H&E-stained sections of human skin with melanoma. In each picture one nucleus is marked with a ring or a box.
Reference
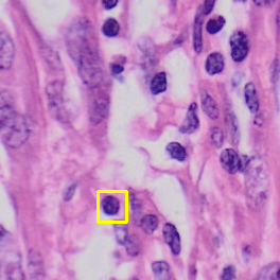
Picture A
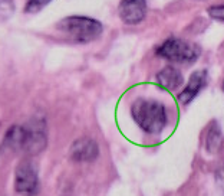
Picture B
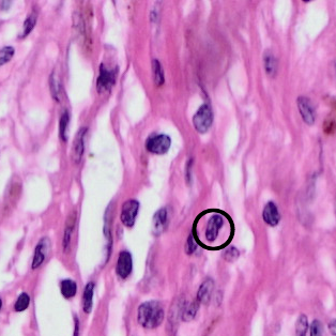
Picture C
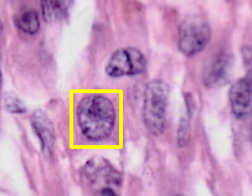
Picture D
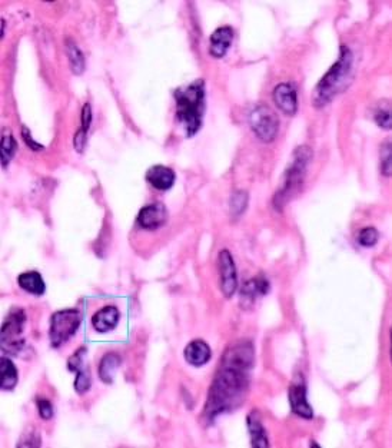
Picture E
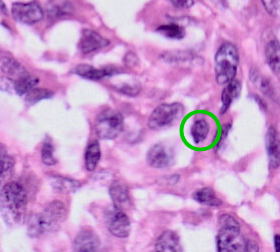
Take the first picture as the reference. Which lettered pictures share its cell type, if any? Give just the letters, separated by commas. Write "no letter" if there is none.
B, D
